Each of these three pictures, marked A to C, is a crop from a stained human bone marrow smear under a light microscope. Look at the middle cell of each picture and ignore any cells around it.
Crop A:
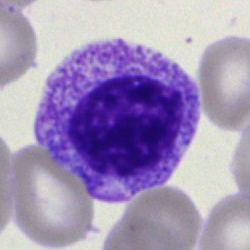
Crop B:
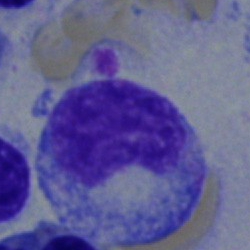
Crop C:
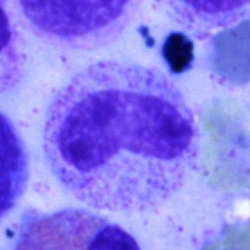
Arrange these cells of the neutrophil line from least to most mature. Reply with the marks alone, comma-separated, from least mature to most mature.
A, B, C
